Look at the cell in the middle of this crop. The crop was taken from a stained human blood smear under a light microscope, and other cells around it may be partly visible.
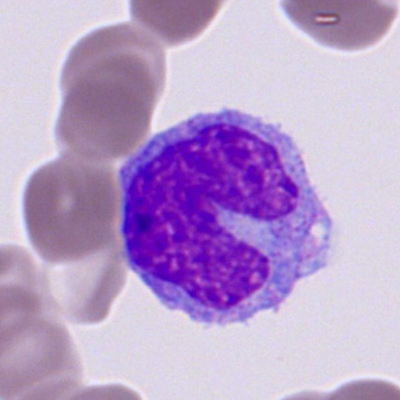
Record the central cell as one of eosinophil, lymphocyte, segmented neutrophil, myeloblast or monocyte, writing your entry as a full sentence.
In the crop, the cell of interest at the centre is a monocyte.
